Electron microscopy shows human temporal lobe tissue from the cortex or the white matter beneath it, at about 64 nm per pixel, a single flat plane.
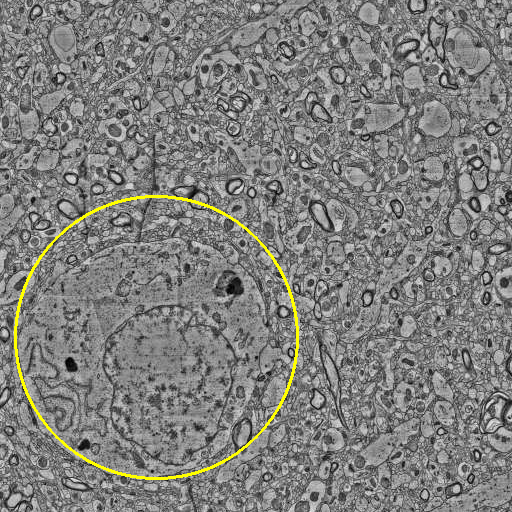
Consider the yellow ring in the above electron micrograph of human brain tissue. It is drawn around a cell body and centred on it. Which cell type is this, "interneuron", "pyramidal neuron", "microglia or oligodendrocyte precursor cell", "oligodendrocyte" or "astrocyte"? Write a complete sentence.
The cell in question is a pyramidal neuron.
